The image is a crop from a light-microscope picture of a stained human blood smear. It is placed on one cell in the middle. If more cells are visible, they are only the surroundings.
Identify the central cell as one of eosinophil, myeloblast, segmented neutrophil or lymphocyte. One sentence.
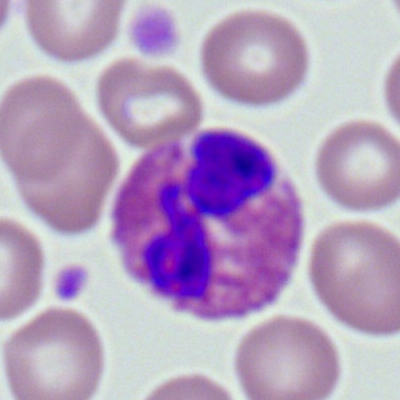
The crop centres on a single cell, and that cell is an eosinophil.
